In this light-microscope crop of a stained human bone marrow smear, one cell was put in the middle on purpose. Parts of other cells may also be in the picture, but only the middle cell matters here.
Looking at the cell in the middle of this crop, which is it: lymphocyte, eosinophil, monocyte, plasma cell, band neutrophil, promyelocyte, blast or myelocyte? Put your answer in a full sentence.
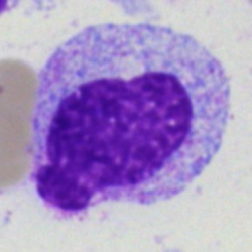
The cell at the middle of the frame should be recorded as a myelocyte.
